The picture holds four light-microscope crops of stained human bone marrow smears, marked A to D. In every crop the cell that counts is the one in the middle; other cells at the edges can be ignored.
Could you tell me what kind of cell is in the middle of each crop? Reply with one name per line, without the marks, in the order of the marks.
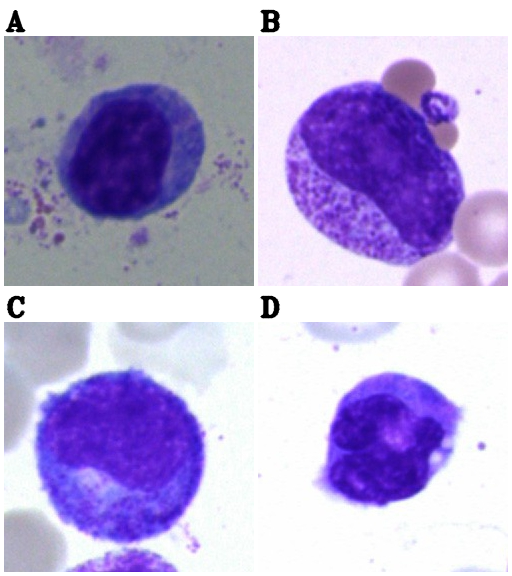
monocyte
promyelocyte
promyelocyte
monocyte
